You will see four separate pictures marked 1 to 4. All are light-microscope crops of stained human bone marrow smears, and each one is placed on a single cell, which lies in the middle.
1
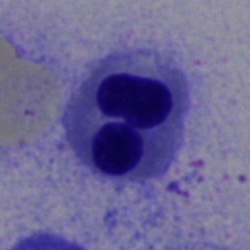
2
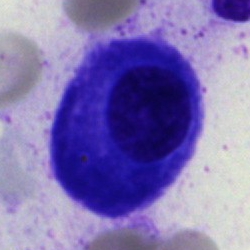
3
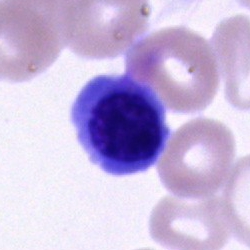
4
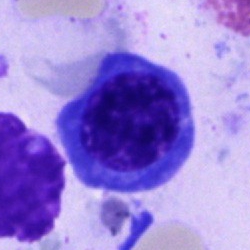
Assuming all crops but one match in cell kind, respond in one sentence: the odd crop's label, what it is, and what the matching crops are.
There is a plasma cell in crop 2, while all the other crops show normoblasts.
